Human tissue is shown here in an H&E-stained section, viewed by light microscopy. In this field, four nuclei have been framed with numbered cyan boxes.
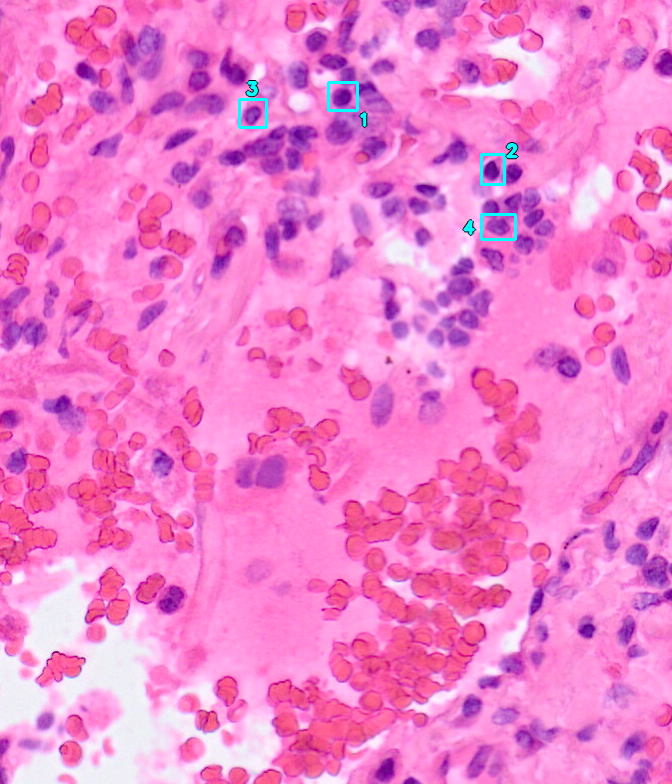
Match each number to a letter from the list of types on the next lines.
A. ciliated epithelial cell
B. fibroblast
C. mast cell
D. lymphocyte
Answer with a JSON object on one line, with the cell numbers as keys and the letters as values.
{"1": "D", "2": "D", "3": "C", "4": "D"}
